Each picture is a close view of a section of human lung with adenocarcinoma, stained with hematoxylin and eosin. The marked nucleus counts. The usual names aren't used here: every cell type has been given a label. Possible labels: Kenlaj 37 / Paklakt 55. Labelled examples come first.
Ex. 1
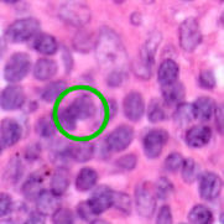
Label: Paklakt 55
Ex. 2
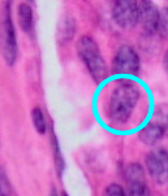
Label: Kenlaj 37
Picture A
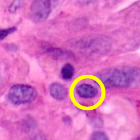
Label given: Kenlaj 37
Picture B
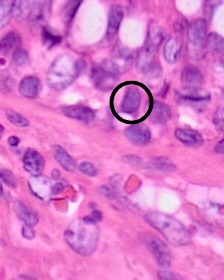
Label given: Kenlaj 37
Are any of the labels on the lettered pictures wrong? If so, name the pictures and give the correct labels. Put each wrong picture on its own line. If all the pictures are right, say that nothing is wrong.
Wrong: A (Kenlaj 37); correct: Paklakt 55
